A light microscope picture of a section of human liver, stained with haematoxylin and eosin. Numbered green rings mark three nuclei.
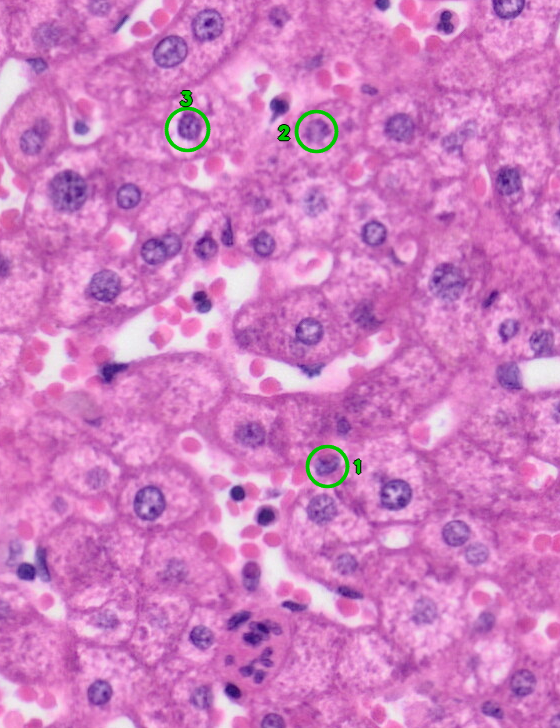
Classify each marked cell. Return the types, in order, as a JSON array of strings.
["endothelial cell", "hepatocyte", "hepatocyte"]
